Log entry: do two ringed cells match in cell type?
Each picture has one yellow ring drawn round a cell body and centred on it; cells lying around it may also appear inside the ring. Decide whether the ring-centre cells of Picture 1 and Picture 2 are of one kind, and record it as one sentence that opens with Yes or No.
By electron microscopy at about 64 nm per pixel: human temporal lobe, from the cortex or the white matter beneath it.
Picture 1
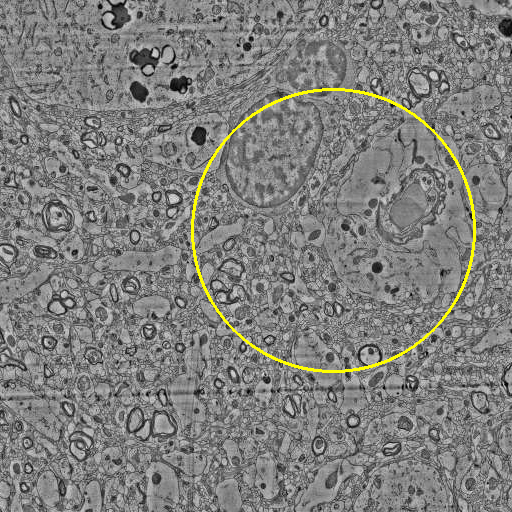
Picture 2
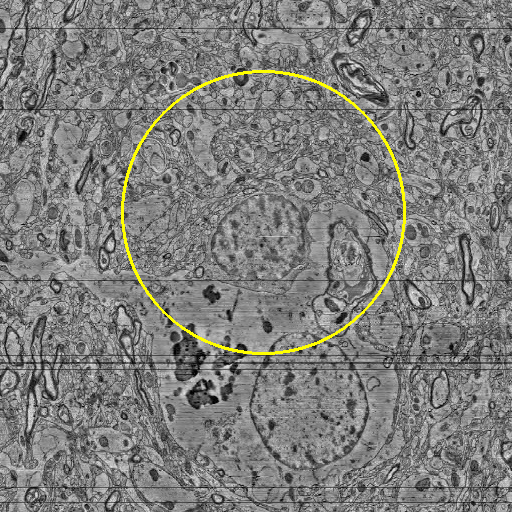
No, the cells at the ring centres of the two pictures belong to two kinds.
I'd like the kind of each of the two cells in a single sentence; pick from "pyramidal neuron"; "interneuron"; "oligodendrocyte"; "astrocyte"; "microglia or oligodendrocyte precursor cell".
The first ring marks a microglial cell or oligodendrocyte precursor cell, and the second ring marks an oligodendrocyte.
